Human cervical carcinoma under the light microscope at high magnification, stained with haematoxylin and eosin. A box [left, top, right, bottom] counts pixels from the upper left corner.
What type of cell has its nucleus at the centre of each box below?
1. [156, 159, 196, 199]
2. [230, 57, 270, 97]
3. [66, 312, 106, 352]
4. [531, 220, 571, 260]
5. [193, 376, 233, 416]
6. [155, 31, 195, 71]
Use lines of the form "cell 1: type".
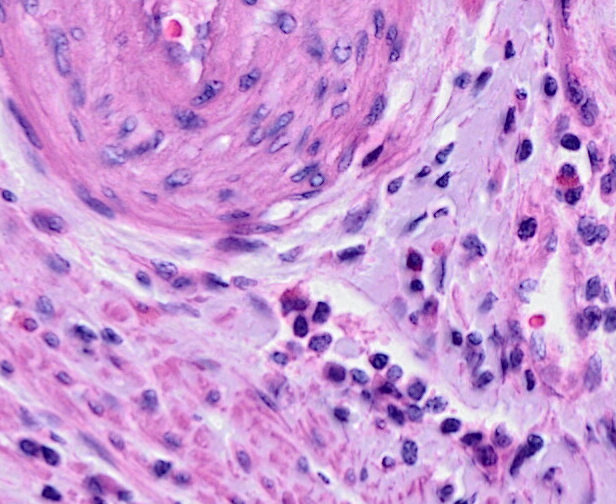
cell 1: smooth muscle cell
cell 2: smooth muscle cell
cell 3: lymphocyte
cell 4: endothelial cell
cell 5: smooth muscle cell
cell 6: endothelial cell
